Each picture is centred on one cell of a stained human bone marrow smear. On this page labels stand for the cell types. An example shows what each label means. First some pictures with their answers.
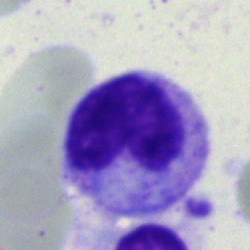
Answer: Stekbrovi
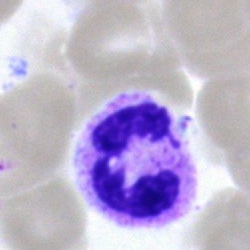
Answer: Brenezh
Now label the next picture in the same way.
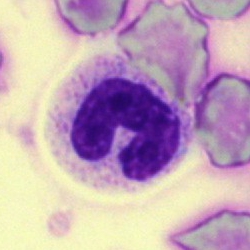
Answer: Stekbrovi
